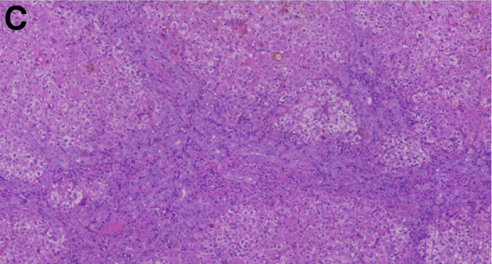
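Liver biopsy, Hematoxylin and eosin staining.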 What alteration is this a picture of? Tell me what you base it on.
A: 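A broad band of fibrous tissue crowded with small nuclei crosses the field. Nests of pale hepatocytes lie on either side of the band.
Hence: ductular proliferation.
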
